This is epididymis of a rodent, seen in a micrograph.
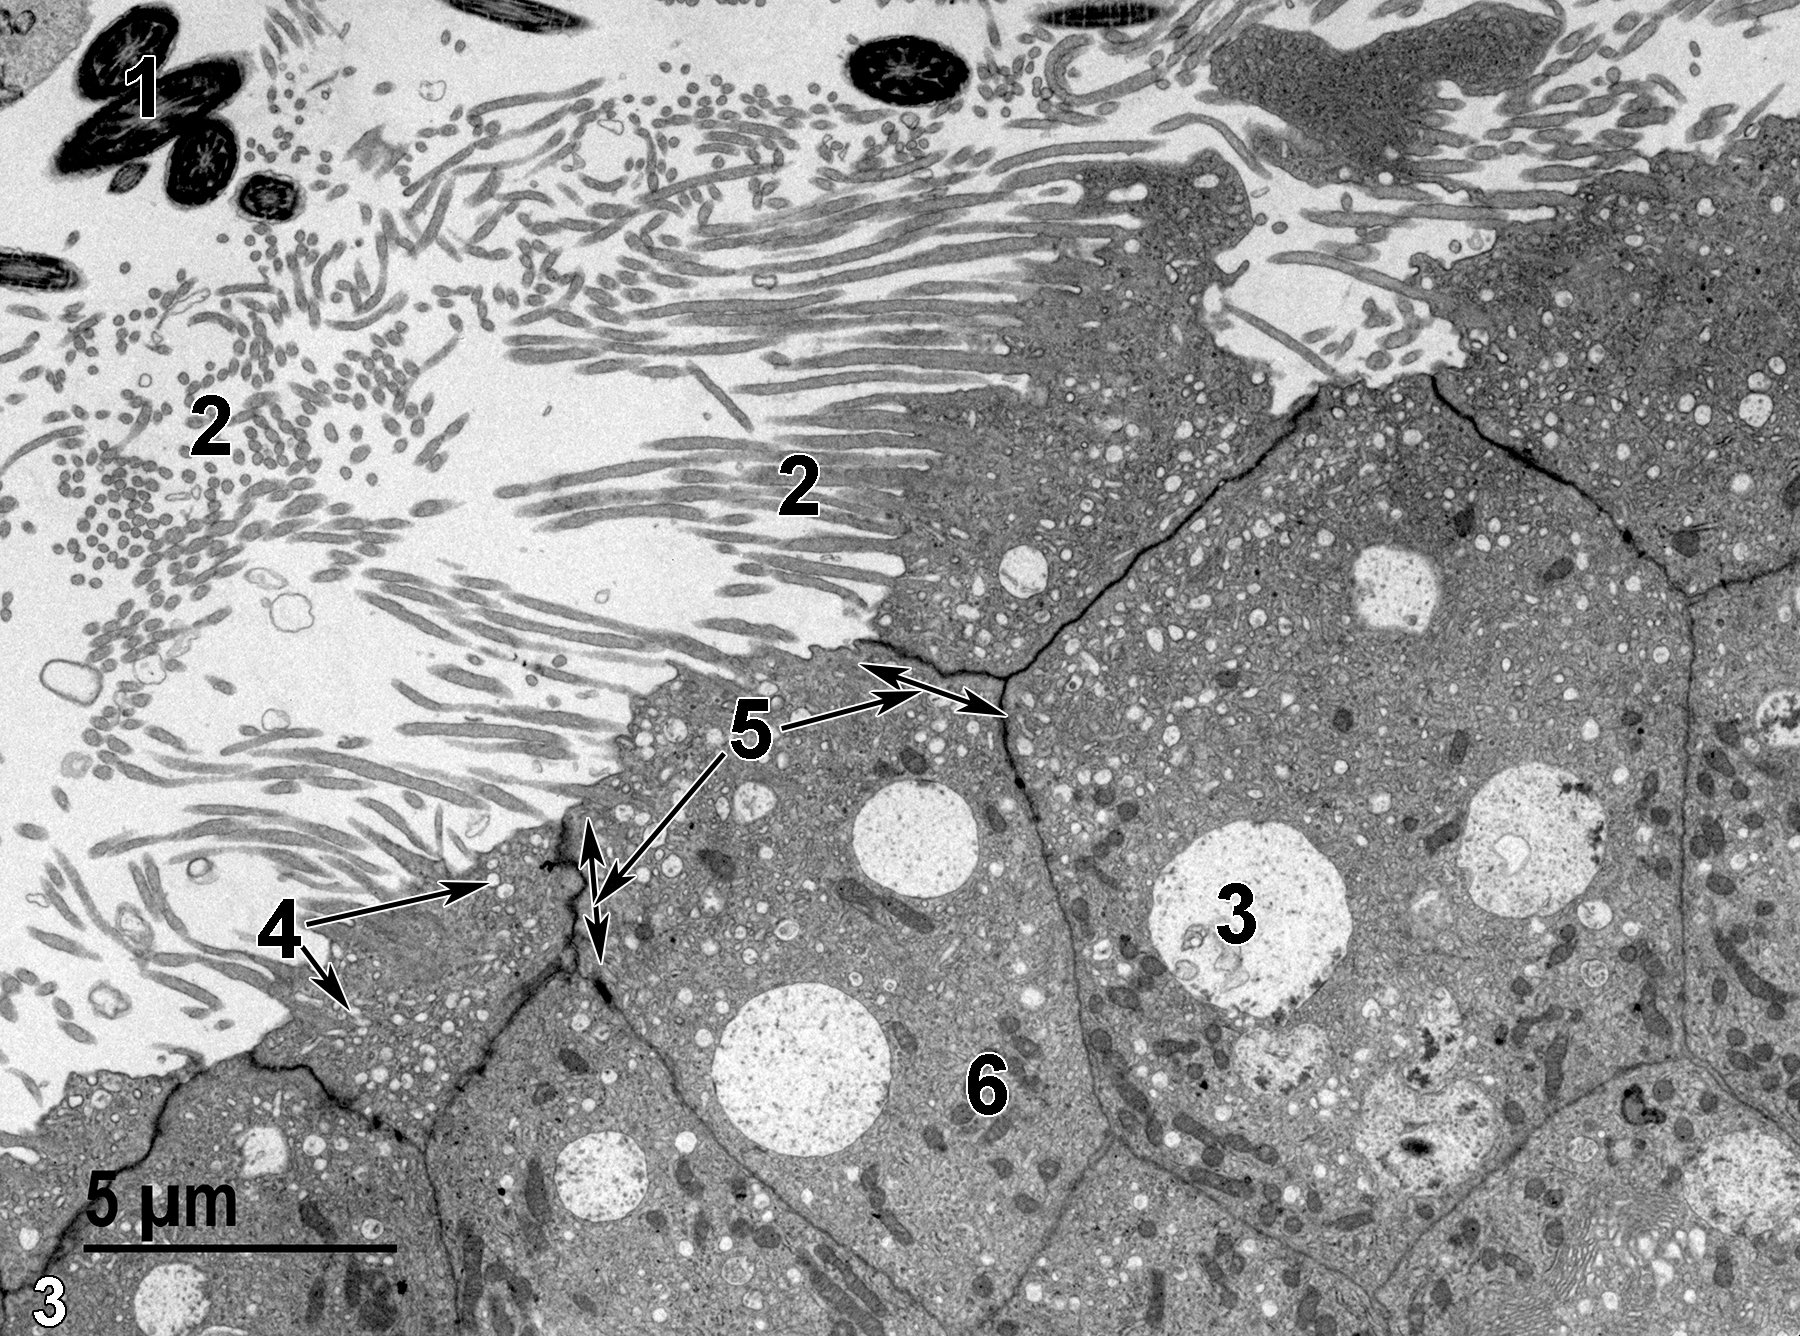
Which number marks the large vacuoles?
The large vacuoles: 3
